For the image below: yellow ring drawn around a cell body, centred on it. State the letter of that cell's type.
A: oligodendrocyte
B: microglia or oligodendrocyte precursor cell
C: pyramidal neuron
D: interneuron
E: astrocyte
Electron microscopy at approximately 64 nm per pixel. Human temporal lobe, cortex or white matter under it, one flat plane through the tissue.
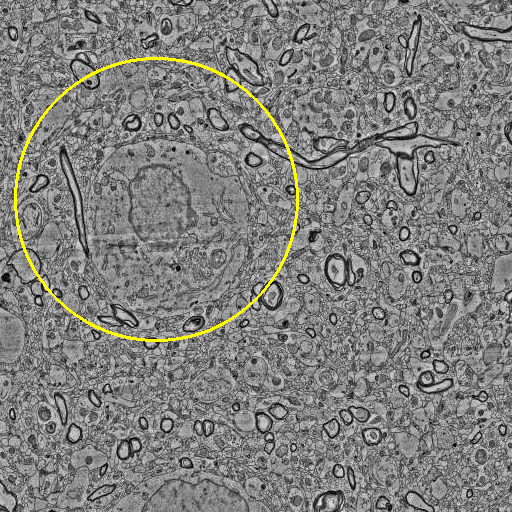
D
